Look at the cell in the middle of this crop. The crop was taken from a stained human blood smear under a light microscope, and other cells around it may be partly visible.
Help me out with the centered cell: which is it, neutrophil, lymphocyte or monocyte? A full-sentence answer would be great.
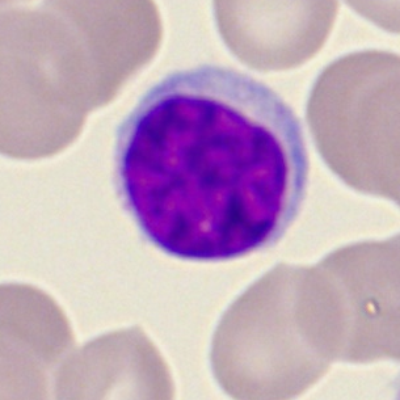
At the crop's centre, the cell is a lymphocyte.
